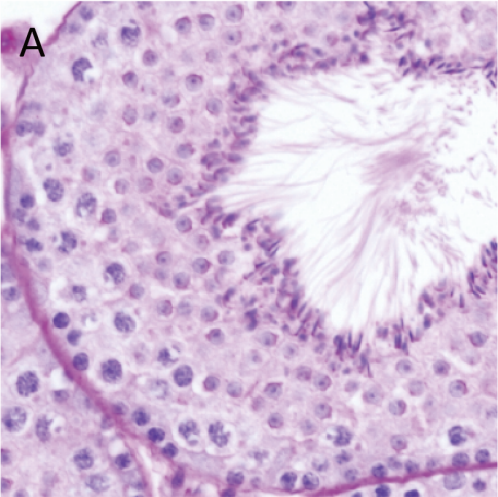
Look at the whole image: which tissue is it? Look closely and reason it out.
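Testis. A tubule bounded by a thin pink basement membrane. Several layers of round germ cells with dark nuclei line the tubule wall. Elongated dark sperm heads face a central lumen filled with pale tails.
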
